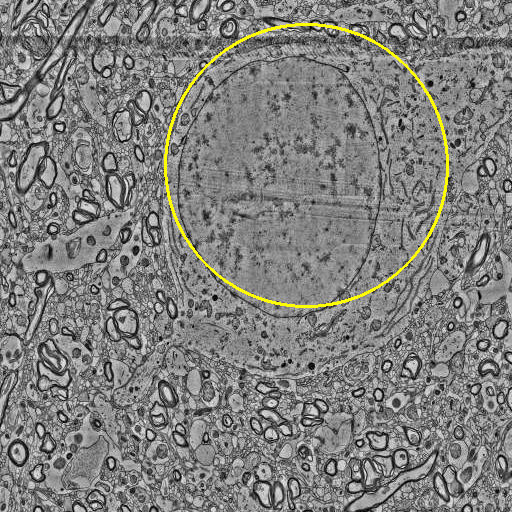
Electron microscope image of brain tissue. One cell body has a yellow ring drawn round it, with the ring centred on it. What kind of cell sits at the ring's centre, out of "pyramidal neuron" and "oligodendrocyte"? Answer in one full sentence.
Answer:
It is a pyramidal neuron whose cell body sits at the centre of the yellow ring.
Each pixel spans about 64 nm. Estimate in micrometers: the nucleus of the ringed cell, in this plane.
The nucleus of the ringed cell is approximately 17 by 13 micrometres in this plane.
